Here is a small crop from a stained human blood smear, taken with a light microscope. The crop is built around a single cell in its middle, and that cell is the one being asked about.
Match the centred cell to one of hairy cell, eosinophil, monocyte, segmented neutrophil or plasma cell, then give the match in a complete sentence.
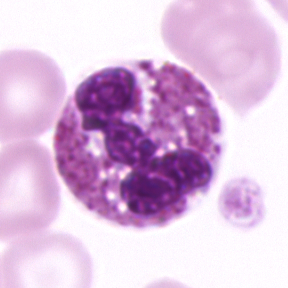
This crop is built around an eosinophil at its centre.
